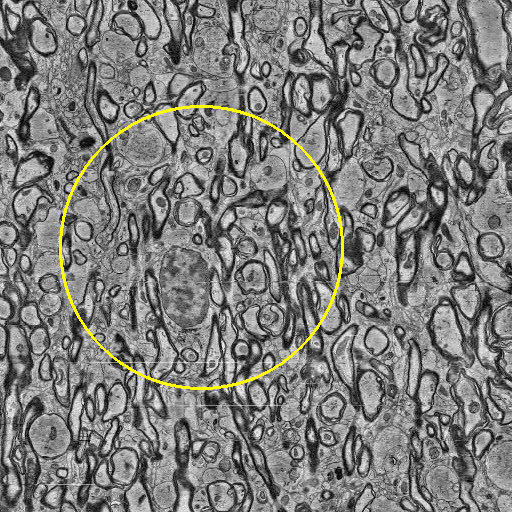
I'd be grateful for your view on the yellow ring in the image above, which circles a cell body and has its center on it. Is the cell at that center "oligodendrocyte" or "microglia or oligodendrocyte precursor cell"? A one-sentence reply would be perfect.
The cell at the center of the yellow ring is a microglial cell or oligodendrocyte precursor cell.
